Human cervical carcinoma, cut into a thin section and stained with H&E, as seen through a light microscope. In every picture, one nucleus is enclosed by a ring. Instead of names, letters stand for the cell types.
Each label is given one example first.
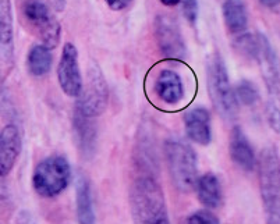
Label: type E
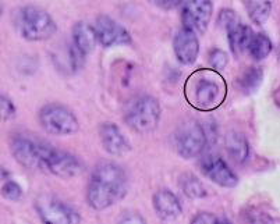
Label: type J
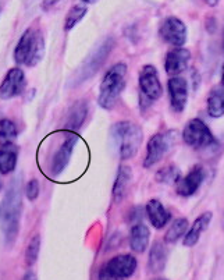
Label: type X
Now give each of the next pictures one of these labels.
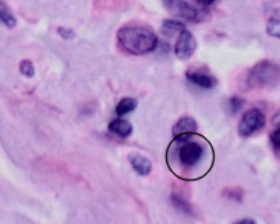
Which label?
type E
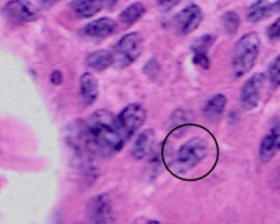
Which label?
type J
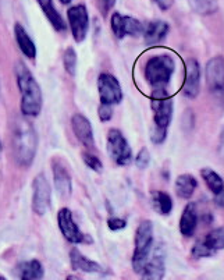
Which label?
type E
